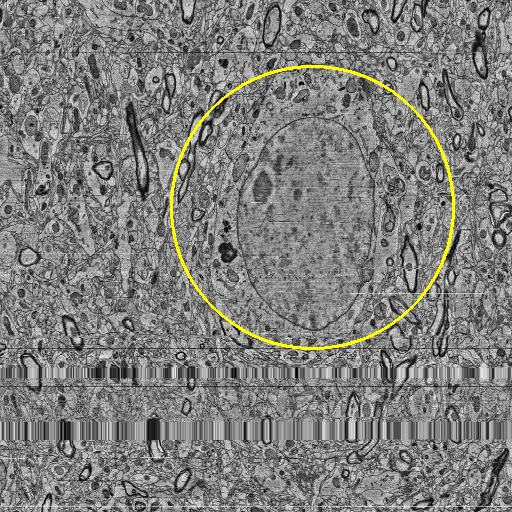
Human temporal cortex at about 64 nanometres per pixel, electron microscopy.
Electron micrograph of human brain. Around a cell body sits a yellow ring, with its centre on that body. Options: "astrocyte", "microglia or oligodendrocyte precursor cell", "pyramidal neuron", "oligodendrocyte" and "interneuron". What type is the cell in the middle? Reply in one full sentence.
The cell sitting at the centre of the yellow ring is a pyramidal neuron.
